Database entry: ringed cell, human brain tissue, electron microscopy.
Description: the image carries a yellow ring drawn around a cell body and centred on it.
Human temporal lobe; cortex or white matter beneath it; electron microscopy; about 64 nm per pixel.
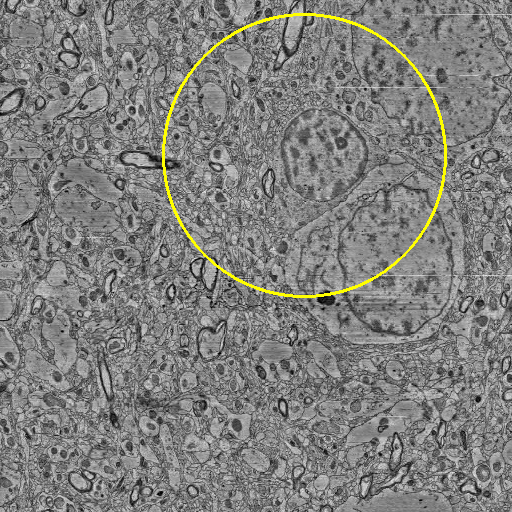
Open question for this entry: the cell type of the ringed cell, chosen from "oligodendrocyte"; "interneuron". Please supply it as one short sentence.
The ringed cell is an oligodendrocyte.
